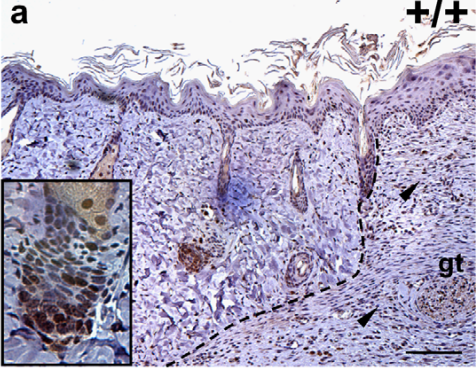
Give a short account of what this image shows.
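Skin at the edge of a wound, with a thin surface epidermis over dermis containing several hair follicles cut lengthwise. A dashed line separates the dermis on the upper left from a denser, highly cellular granulation tissue on the lower right, where many spindle-shaped and rounded cells lie closely packed and many nuclei are brown. Arrowheads point to brown-stained cells in this granulation tissue. The dermis is loose and wavy with fewer nuclei. The inset shows a hair follicle at high magnification, a tight cluster of epithelial cells in which many rounded nuclei are stained dark brown.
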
